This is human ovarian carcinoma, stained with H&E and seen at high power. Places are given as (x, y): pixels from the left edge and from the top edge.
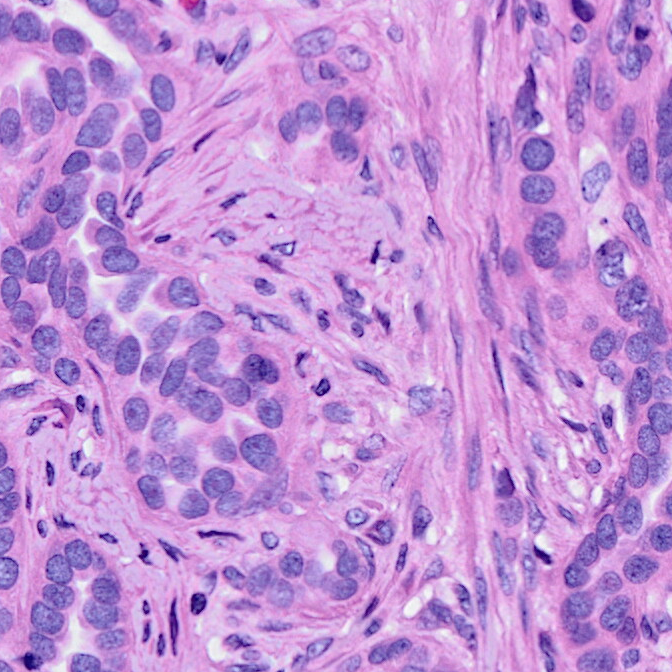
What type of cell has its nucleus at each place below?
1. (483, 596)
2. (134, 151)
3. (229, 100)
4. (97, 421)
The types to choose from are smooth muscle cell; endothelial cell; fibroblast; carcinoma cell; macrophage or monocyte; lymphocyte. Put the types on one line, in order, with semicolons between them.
fibroblast; carcinoma cell; fibroblast; fibroblast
